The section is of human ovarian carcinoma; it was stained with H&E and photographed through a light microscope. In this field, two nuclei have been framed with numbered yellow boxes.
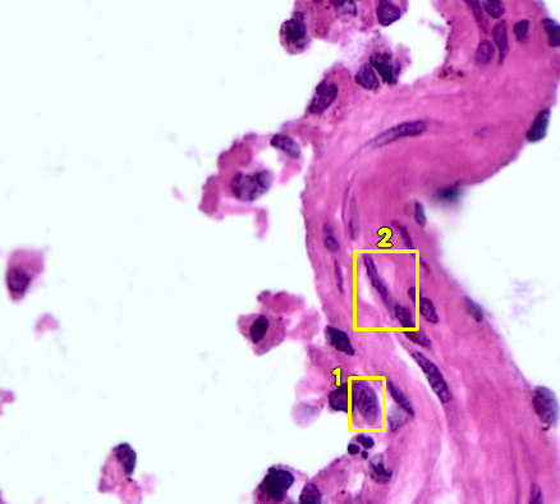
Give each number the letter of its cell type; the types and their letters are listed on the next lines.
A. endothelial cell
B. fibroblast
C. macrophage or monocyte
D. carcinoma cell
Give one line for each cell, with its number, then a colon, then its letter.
1: D
2: B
